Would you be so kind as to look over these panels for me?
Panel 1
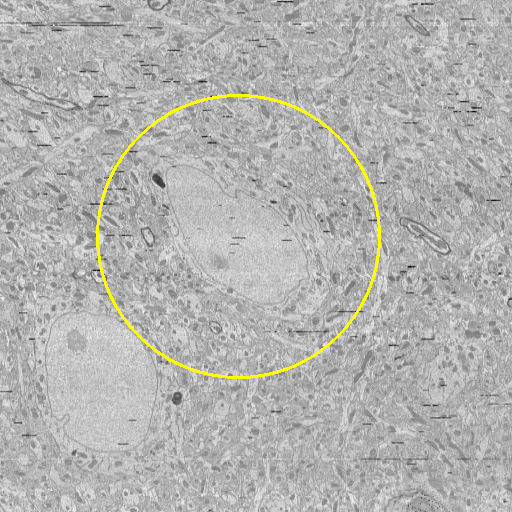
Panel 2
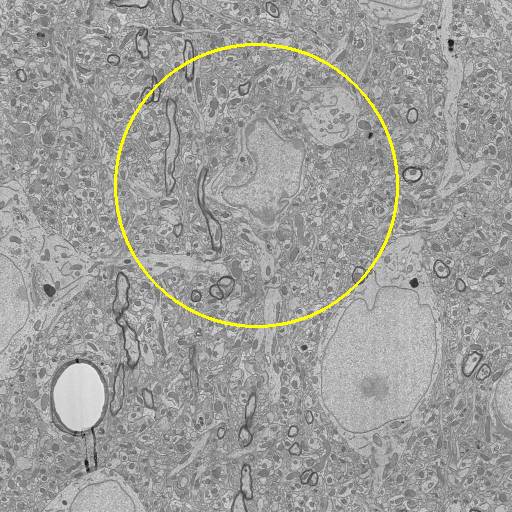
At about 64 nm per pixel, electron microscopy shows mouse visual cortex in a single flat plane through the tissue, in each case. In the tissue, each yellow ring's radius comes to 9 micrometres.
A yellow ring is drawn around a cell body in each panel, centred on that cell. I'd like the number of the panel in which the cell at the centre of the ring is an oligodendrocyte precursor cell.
2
